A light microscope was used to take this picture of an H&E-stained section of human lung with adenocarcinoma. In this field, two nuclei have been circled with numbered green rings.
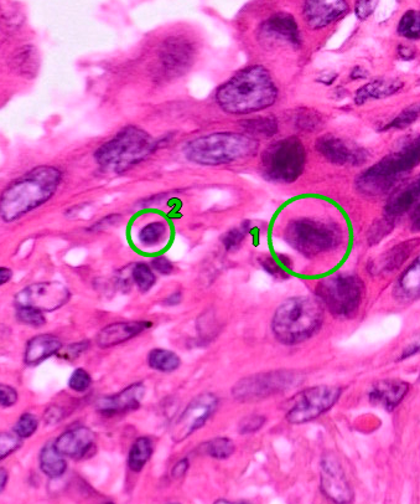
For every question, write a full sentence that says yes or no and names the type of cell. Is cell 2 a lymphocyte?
Yes, the one with the number 2 is a lymphocyte.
